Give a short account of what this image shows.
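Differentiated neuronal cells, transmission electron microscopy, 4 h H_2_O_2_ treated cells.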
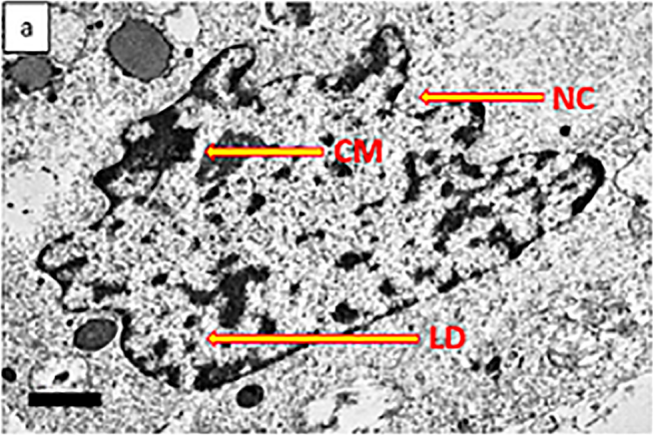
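The nuclear envelope is folded into deep indentations and finger-like lobes, giving the nucleus a jagged contour. Dark, dense chromatin is gathered in clumps along the inner side of the envelope and in scattered patches through the nucleoplasm. The surrounding cytoplasm contains small round dark bodies and a few membrane-bound organelles. Nothing like a smooth, oval nucleus with evenly spread chromatin is to be seen here.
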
